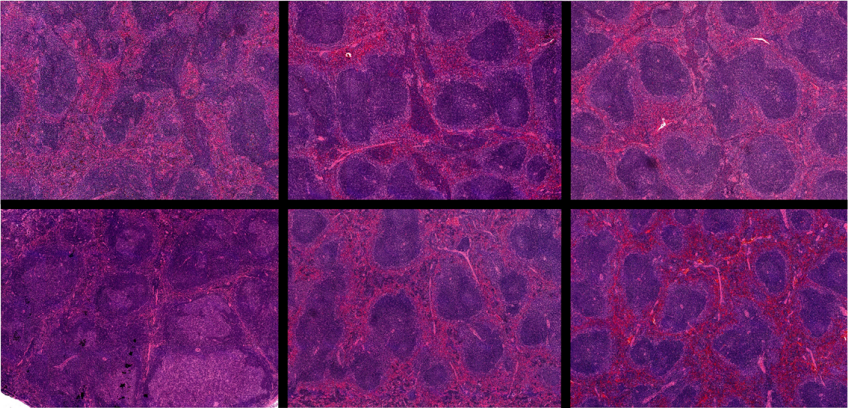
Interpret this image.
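These are low-power sections of spleen showing its lymphoid follicles set within the red pulp. The follicles appear as rounded to oval dark purple nodules, dense with small, closely packed nuclei. Between them lies a looser pink-red tissue, crossed by thin pink strands. The nodules vary in size and shape from one section to another, and in a few the centre is paler than the rim. At this magnification the single cells cannot be told apart; what shows is the layout of dense purple nodules against the red background.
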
